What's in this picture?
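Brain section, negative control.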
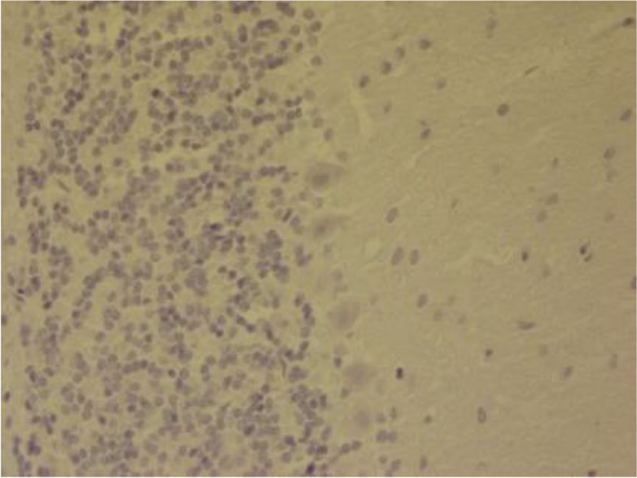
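This is cerebellar cortex at the border between the granular layer and the molecular layer. On the left, the granular layer is a crowd of small, round, evenly sized nuclei stained violet, packed closely with little cytoplasm visible between them. On the right, the molecular layer is pale and fibrous, with only a few scattered small nuclei. Along the border between the two lie a few large, faintly stained cell bodies, where the Purkinje cell layer sits. No brown reaction product is seen anywhere in the field.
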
